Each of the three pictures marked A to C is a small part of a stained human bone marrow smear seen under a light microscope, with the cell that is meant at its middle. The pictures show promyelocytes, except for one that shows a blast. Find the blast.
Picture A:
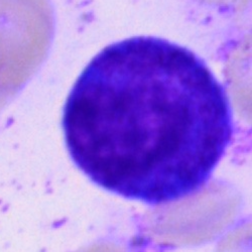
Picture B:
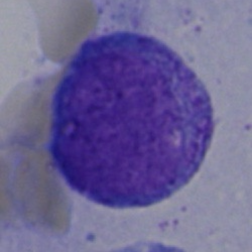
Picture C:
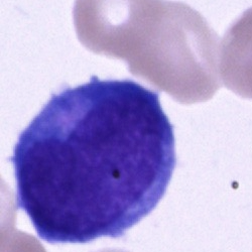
C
